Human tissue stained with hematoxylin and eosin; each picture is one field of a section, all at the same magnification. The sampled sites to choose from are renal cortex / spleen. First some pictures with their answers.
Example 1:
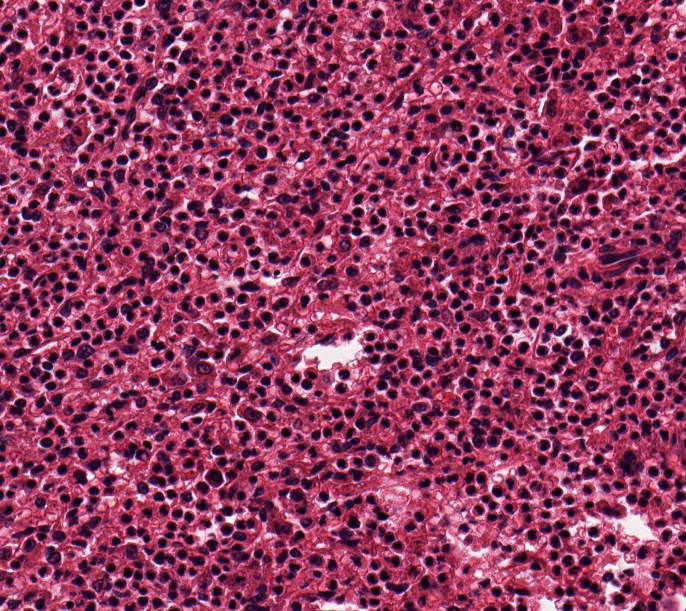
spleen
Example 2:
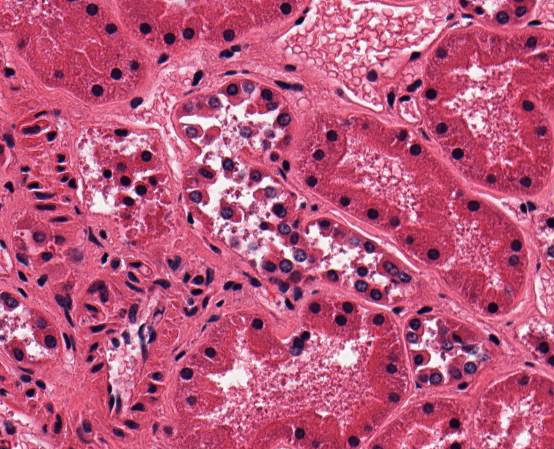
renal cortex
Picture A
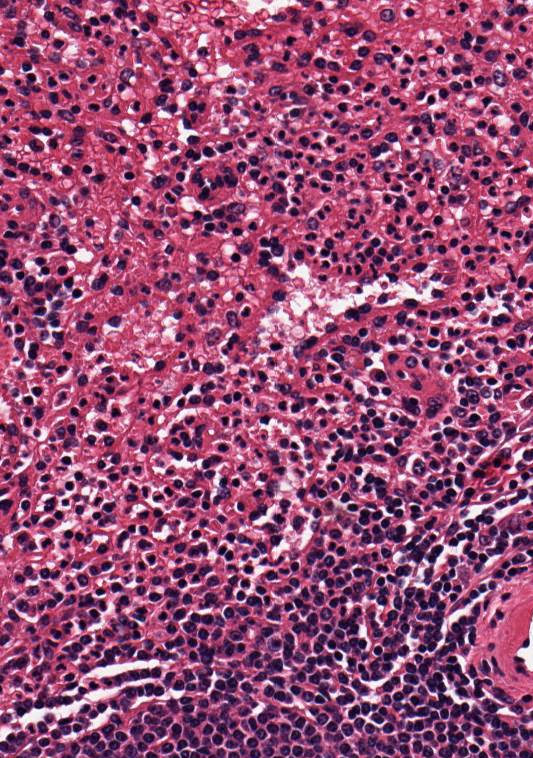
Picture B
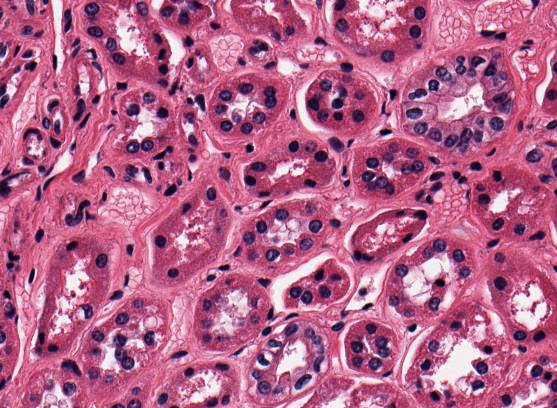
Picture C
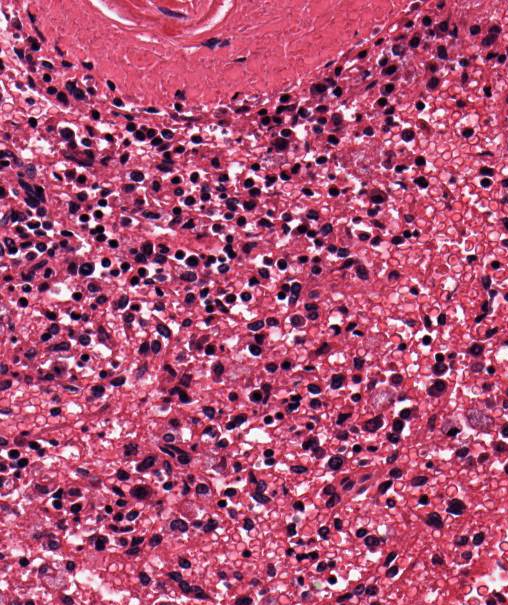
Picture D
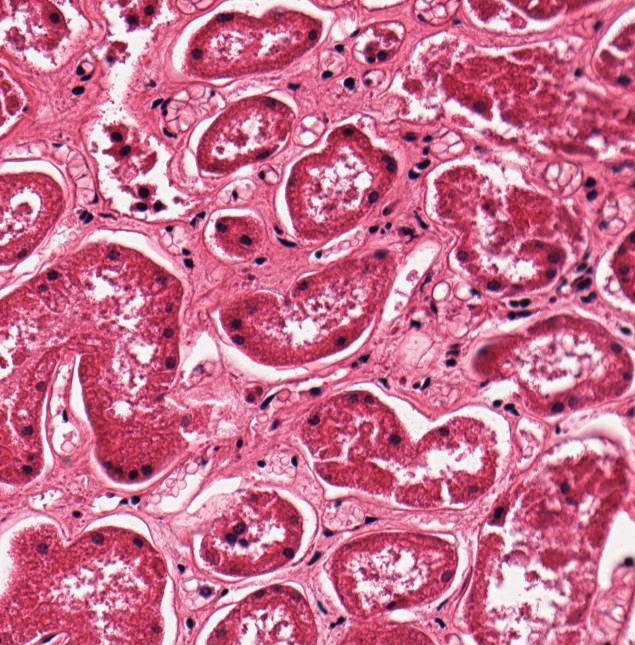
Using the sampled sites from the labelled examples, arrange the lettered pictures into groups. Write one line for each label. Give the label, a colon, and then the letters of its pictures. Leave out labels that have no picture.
renal cortex: B, D
spleen: A, C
